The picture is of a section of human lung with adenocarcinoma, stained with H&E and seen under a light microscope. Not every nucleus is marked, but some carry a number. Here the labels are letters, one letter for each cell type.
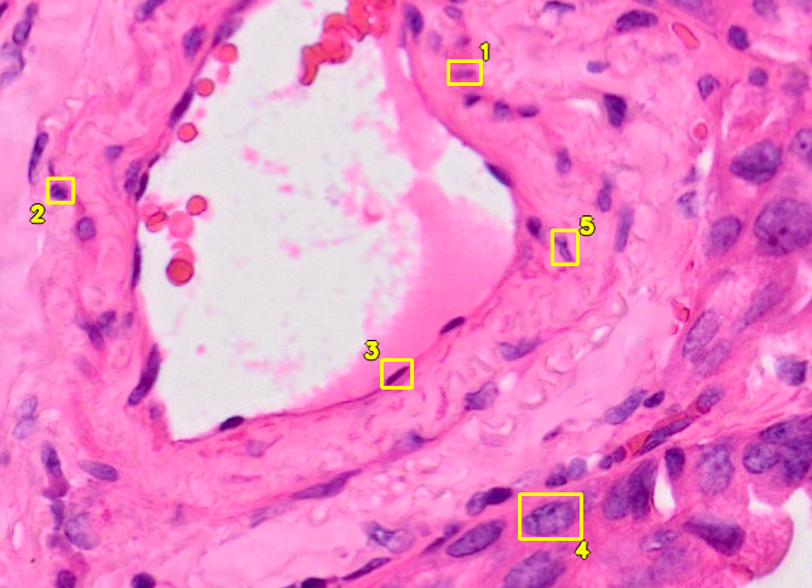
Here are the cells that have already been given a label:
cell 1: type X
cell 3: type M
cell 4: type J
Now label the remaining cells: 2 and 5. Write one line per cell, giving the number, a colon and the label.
2: type X
5: type X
